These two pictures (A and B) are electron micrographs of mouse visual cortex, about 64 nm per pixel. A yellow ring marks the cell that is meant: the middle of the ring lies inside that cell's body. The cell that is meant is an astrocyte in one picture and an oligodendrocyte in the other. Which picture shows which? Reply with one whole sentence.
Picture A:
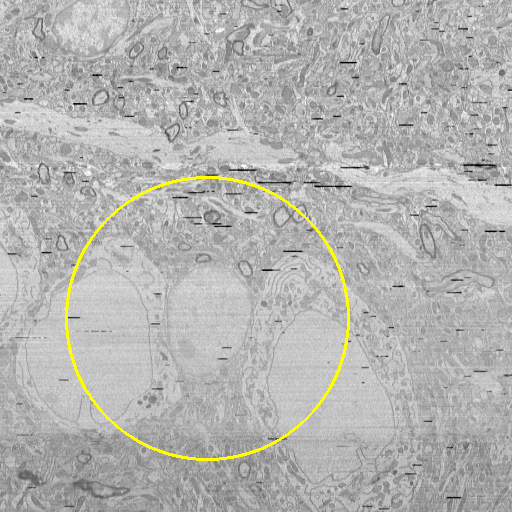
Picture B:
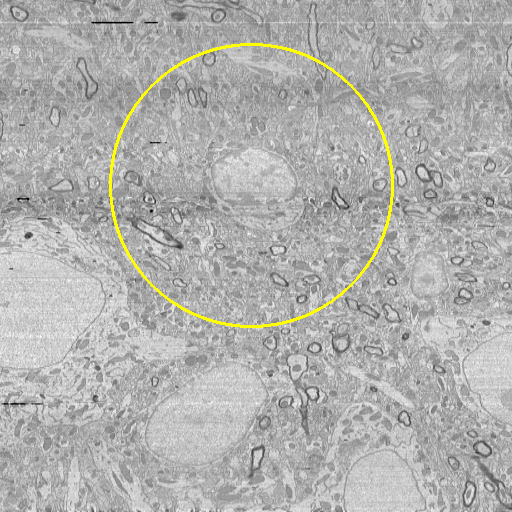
It is picture A that shows an astrocyte, and picture B that shows an oligodendrocyte.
